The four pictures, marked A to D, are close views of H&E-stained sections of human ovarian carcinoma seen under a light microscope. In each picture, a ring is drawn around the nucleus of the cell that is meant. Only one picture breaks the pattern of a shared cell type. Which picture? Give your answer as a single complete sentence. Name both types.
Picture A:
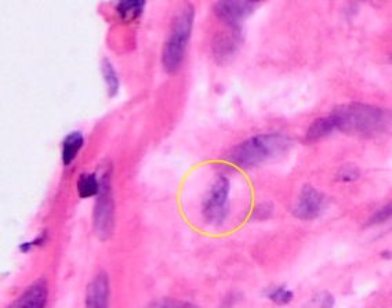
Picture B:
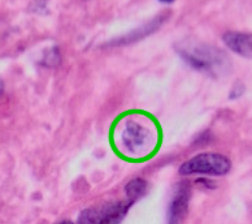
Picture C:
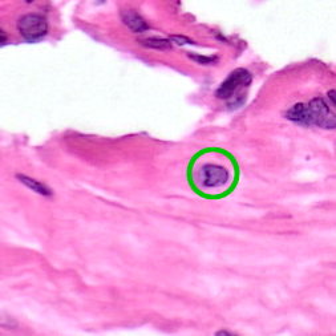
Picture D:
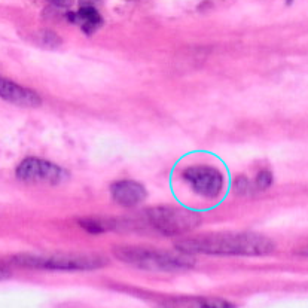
All pictures except A show “macrophages or monocytes”; picture A shows a fibroblast.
